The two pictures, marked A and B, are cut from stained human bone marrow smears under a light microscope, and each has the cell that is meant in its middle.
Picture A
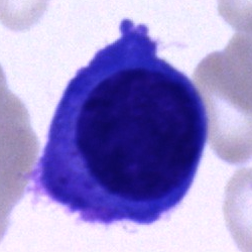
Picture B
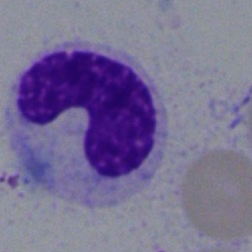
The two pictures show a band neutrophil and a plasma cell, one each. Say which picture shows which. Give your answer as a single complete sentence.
Picture A shows a plasma cell and picture B shows a band neutrophil.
